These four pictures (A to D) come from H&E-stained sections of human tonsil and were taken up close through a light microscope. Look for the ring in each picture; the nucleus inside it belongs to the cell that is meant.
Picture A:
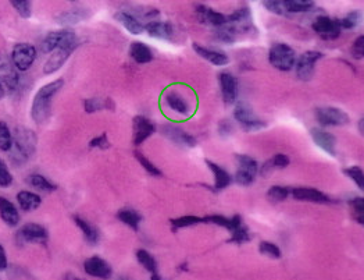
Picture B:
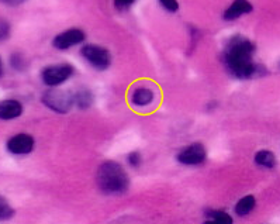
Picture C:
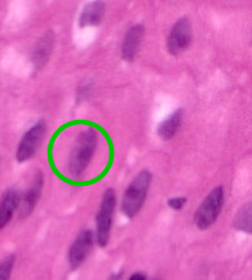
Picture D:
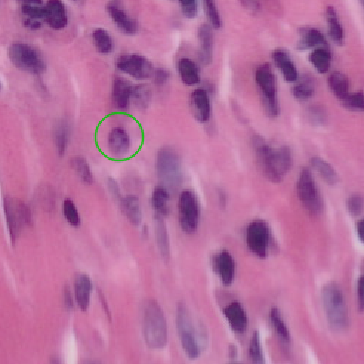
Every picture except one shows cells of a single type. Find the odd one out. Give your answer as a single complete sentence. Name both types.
All pictures except C show mast cells; picture C shows a squamous epithelial cell.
